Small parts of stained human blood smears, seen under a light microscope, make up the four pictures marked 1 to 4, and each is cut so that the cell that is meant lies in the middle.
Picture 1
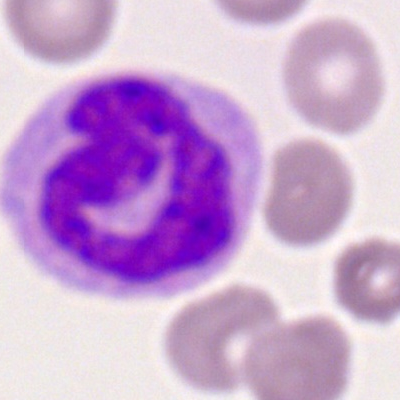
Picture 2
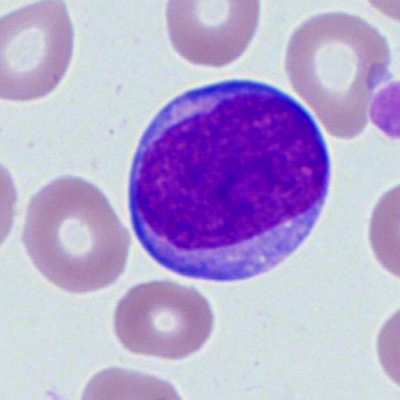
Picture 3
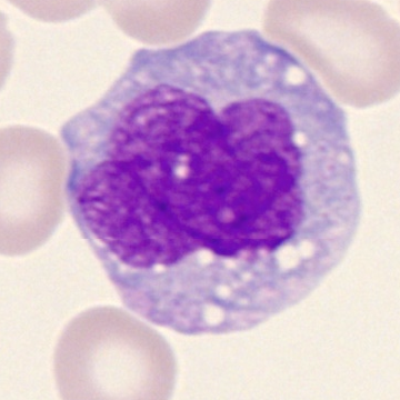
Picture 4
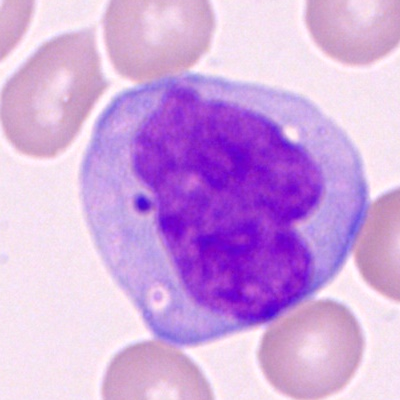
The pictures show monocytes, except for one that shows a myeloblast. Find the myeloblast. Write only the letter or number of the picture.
2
